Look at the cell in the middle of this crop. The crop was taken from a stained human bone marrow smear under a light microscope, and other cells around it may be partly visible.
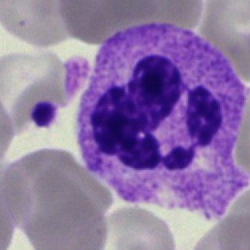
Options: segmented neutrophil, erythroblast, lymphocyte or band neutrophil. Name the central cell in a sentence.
The middle position in this crop is taken by a segmented neutrophil.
